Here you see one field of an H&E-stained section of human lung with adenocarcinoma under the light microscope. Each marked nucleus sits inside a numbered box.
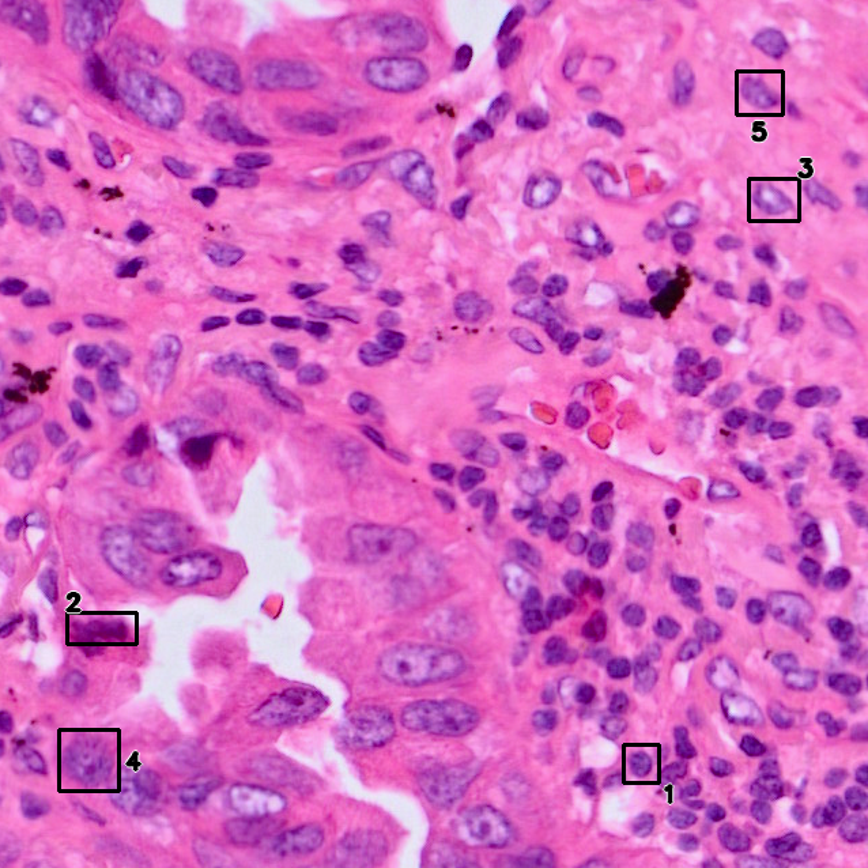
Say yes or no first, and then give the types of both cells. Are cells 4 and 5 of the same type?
No, cell 5 is a fibroblast, whereas cell 4 is a carcinoma cell.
